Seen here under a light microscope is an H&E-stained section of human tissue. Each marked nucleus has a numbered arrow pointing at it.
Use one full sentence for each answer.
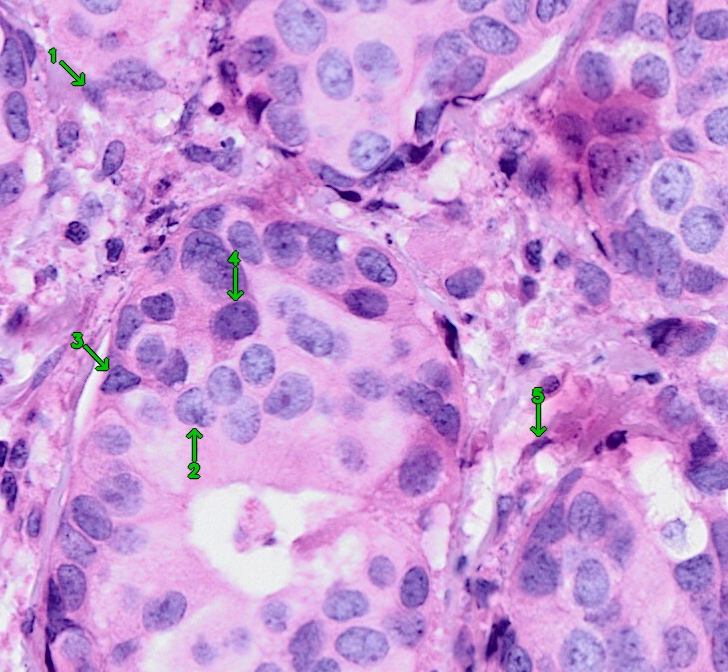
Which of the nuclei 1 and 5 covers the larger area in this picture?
Of the two, number 1 is bigger and takes up about 2.5 times the area of number 5.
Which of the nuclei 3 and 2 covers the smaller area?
Nucleus 3 covers less area, with nucleus 2 about 1.5 times as large.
